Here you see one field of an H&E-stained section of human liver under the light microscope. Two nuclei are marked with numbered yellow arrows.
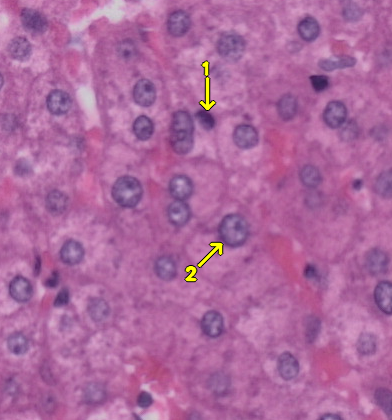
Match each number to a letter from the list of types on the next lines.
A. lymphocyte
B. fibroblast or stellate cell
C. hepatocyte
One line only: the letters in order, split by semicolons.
B; C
